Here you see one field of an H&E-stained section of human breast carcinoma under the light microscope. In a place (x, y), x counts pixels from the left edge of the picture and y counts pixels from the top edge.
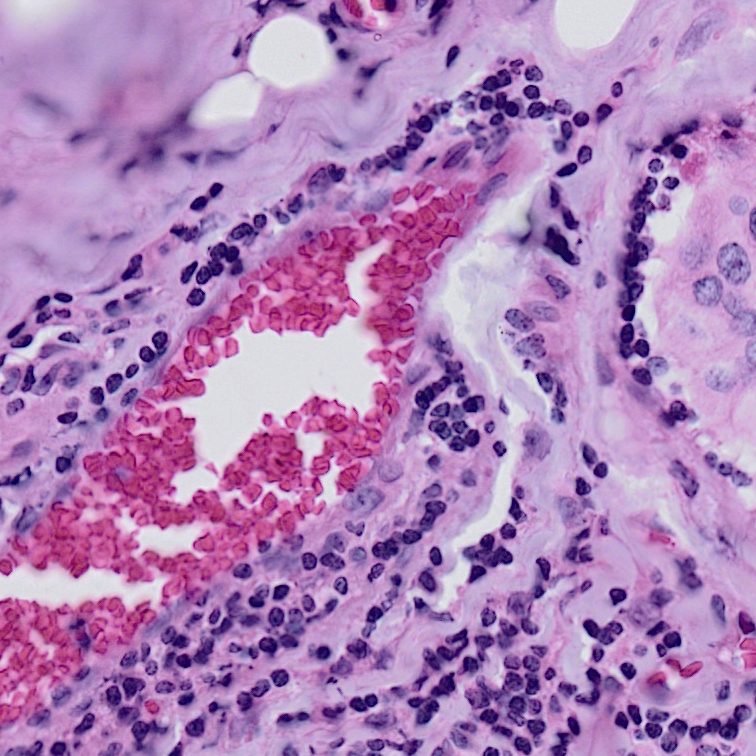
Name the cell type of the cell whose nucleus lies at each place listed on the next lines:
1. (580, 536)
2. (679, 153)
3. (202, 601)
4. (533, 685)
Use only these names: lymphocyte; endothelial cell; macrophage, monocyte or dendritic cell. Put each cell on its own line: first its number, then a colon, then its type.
1: lymphocyte
2: lymphocyte
3: endothelial cell
4: lymphocyte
